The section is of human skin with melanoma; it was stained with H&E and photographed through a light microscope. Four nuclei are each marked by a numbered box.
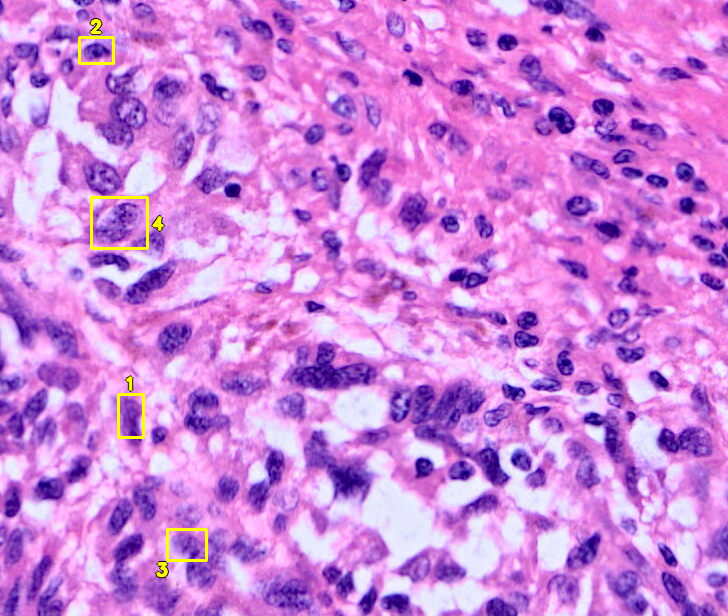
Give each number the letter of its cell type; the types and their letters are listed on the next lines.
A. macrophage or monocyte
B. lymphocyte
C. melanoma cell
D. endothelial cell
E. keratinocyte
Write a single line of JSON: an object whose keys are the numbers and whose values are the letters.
{"1": "C", "2": "B", "3": "C", "4": "C"}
